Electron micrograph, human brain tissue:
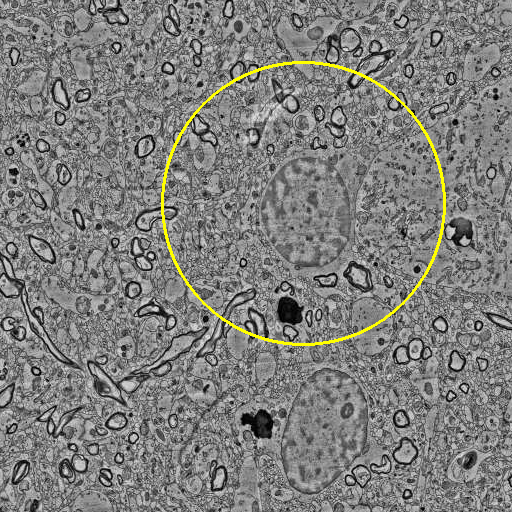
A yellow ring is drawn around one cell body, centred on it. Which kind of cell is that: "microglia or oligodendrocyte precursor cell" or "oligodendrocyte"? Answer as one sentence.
It is an oligodendrocyte at the centre of the ring.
